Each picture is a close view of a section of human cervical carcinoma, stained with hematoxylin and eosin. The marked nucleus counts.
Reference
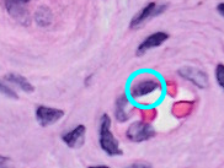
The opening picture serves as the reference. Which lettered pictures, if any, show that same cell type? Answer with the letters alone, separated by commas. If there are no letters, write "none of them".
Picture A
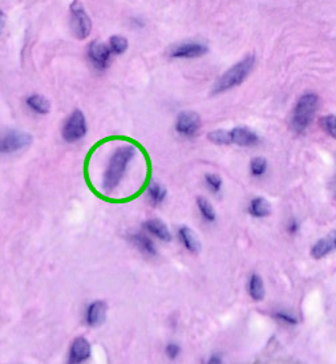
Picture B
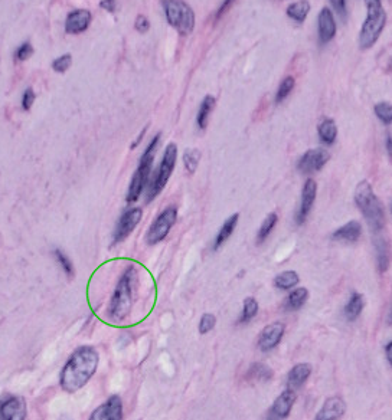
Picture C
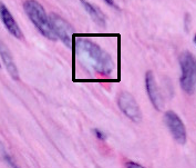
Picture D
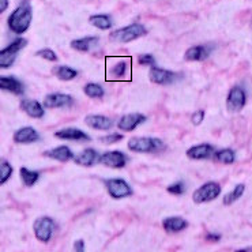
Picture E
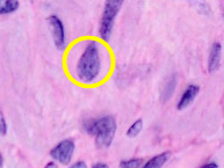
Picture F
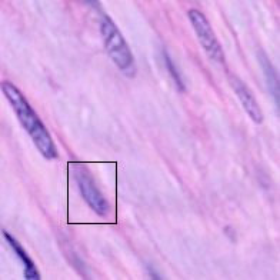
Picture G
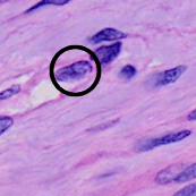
B, C, G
